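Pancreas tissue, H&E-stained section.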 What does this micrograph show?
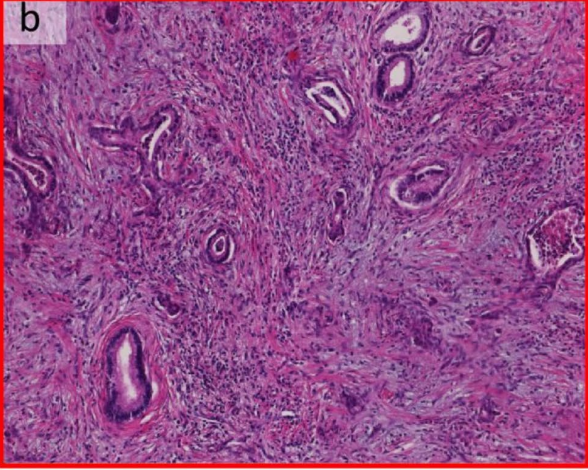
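Small, irregular, often angulated glands sit singly and haphazardly in a dense, purple-stained stroma. The surrounding stroma is highly cellular, made of spindle-shaped cells arranged in streaming, swirling bundles, with scattered small round inflammatory cells. Unlike an orderly lobule, the glands show no grouping and are separated by this crowded reactive tissue, a picture consistent with infiltrating tumor glands in a desmoplastic stroma.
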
